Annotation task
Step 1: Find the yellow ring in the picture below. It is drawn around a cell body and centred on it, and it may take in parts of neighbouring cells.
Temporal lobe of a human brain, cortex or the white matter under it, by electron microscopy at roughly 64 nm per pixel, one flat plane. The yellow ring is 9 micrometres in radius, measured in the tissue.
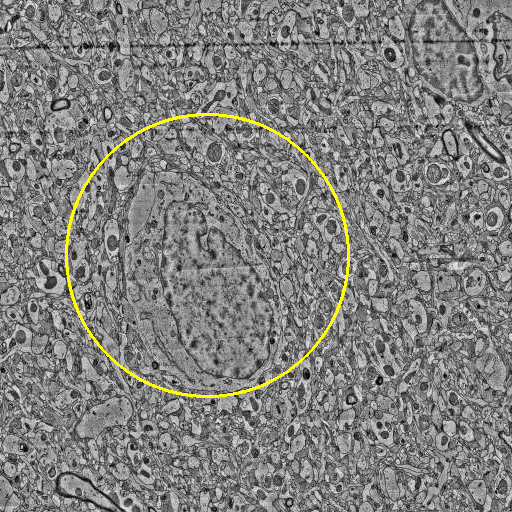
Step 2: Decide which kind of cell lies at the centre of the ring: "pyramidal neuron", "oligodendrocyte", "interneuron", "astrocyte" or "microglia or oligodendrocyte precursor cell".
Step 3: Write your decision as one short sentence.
The kind of cell at the ring's centre is an interneuron.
